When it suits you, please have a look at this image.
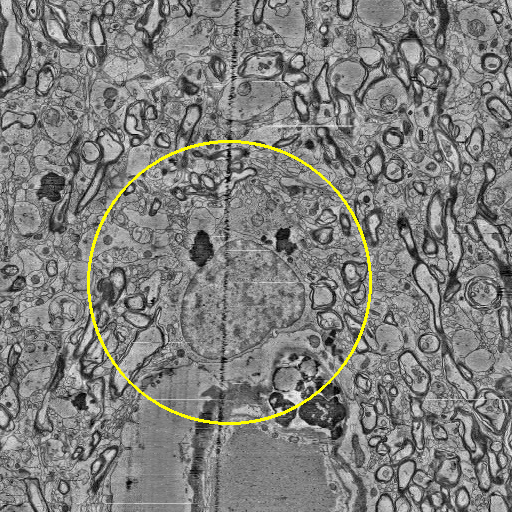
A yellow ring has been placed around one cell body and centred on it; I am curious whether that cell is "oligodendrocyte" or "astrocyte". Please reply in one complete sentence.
The ringed cell, an oligodendrocyte, has its body at the centre of the yellow ring.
